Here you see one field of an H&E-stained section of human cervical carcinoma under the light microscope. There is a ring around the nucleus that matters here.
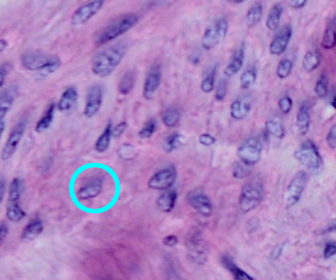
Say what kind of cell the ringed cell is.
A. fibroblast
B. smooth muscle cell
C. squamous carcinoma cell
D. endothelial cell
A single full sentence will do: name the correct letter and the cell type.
The accurate option is B, with the ringed cell being a smooth muscle cell.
